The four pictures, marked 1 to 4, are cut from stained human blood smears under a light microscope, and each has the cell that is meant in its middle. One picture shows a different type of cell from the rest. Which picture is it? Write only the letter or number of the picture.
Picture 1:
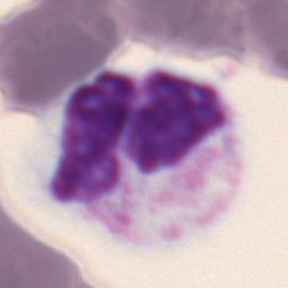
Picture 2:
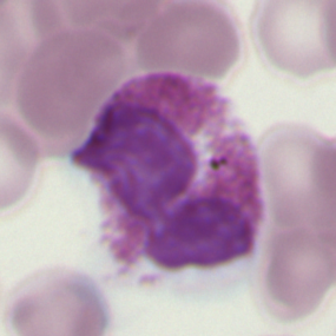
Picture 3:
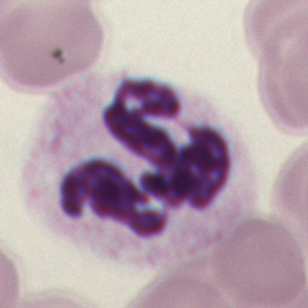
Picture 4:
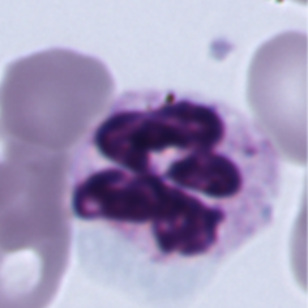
2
